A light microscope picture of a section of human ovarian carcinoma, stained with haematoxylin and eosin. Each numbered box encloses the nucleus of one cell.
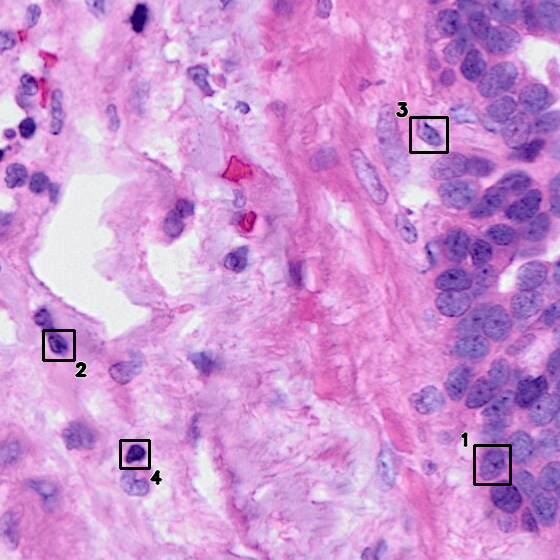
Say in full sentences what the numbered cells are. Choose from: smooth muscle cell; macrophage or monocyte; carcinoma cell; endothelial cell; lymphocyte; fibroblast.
Cell 1 is a carcinoma cell. Cells 2 and 4 are lymphocytes. Cell 3 is a macrophage or monocyte.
